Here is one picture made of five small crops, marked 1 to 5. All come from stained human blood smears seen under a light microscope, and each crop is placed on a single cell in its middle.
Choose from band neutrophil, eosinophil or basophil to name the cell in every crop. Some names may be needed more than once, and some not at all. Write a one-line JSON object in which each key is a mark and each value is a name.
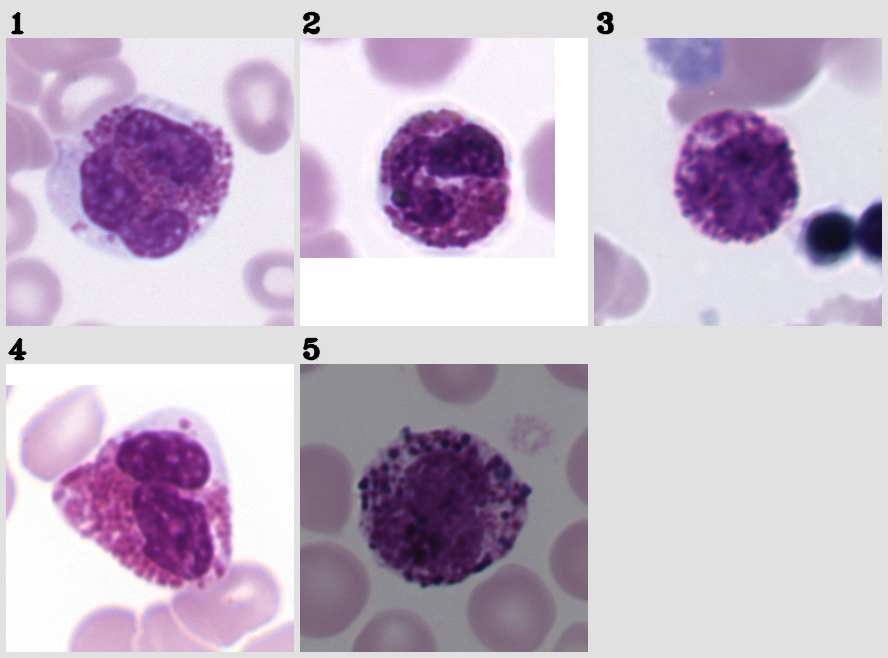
{"1": "eosinophil", "2": "eosinophil", "3": "basophil", "4": "eosinophil", "5": "basophil"}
